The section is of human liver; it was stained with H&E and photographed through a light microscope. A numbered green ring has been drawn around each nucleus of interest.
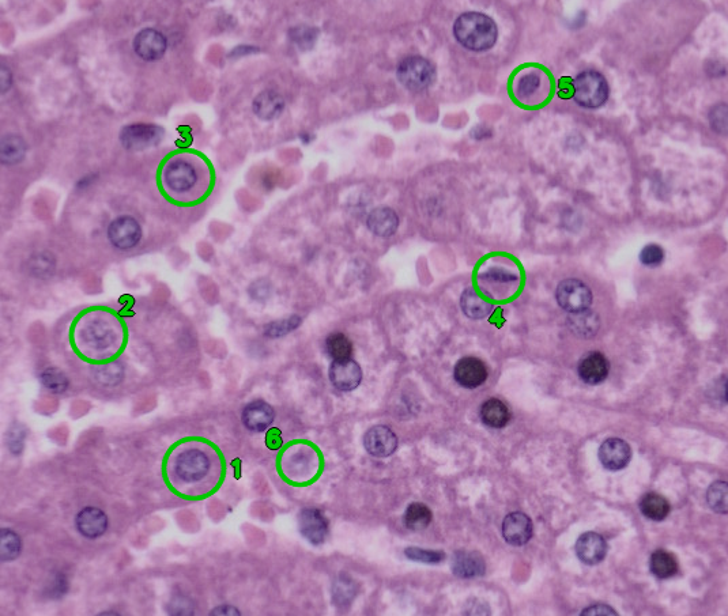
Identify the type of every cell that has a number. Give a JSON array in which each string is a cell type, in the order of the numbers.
["hepatocyte", "hepatocyte", "hepatocyte", "endothelial cell", "lymphocyte", "hepatocyte"]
